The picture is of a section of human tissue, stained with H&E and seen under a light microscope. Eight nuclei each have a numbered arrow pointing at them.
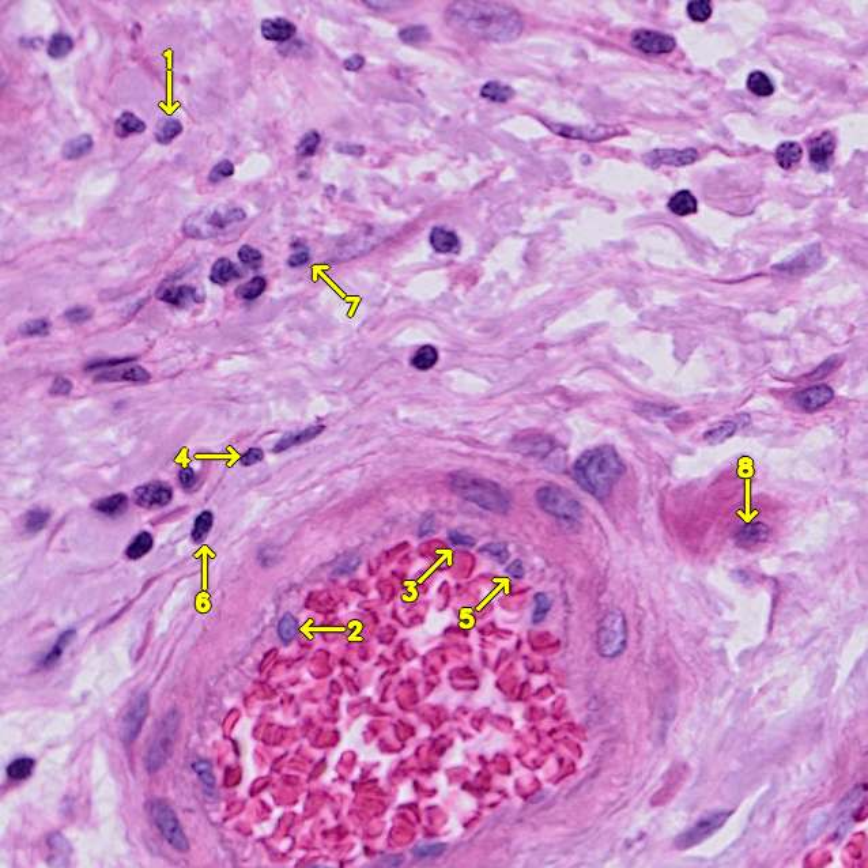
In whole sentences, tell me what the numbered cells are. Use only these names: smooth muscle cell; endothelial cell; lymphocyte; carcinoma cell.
Cell 1 is a lymphocyte, cell 2 is an endothelial cell, cell 3 is an endothelial cell, cell 4 is a lymphocyte, cell 5 is an endothelial cell, cell 6 is a lymphocyte, cell 7 is a lymphocyte and cell 8 is a smooth muscle cell.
